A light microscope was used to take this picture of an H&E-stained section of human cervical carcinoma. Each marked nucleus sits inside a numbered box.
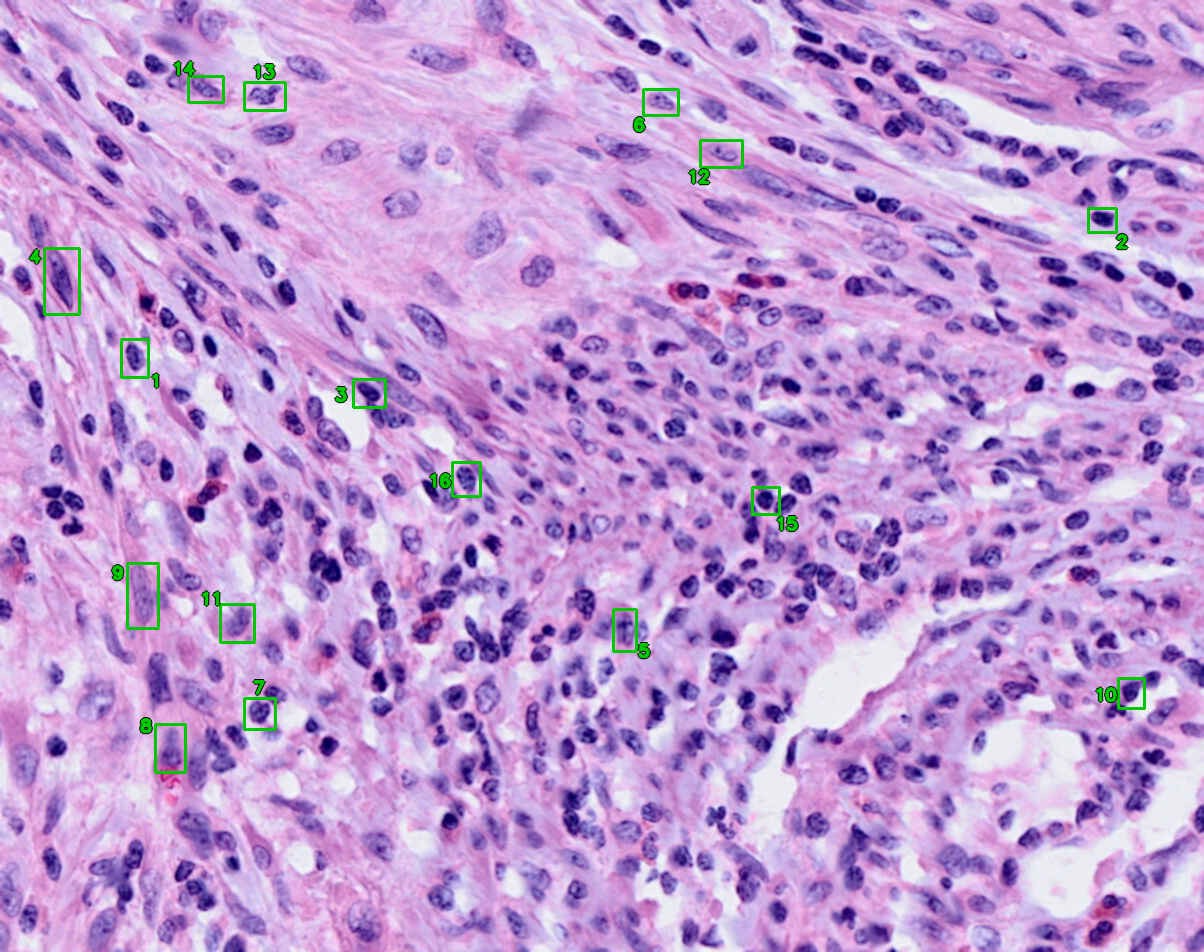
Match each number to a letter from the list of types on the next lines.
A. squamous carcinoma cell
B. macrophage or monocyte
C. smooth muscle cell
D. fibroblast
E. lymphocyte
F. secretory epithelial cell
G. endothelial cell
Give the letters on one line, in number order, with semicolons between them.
E; E; E; G; B; B; E; G; G; E; B; G; E; G; E; E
